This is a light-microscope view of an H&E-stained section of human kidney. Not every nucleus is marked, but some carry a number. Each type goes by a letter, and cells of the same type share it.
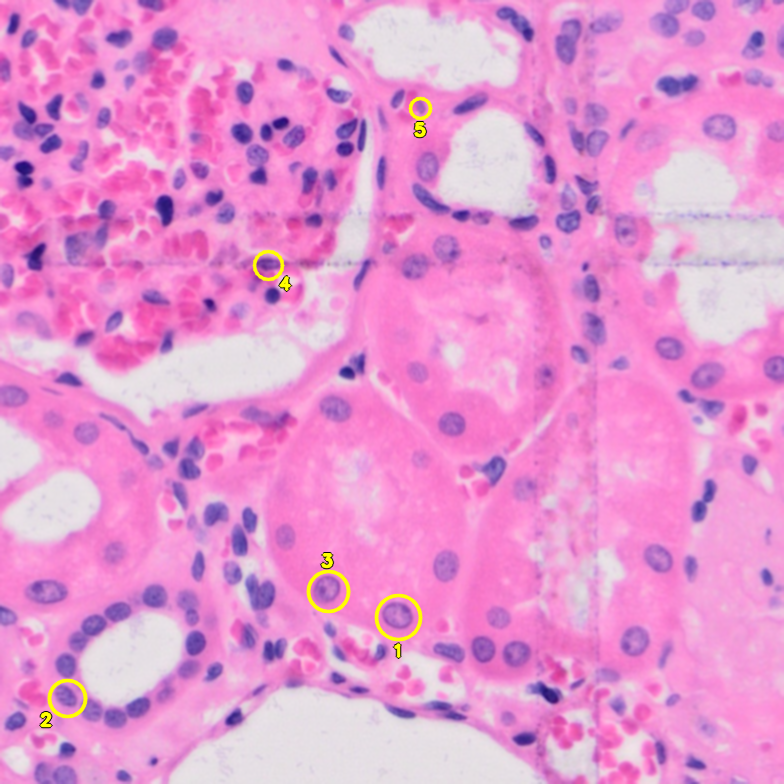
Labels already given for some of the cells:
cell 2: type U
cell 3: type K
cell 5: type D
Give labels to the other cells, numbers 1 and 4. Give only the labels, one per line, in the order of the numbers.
type K
type D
